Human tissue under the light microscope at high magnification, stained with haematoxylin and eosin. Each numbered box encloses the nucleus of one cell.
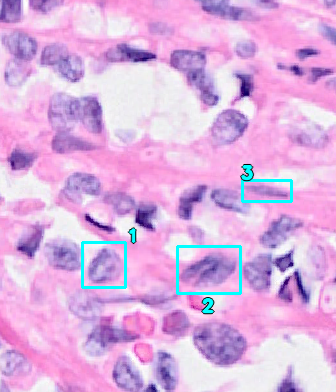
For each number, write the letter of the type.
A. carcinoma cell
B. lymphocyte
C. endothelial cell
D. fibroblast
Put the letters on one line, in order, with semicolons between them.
A; C; D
